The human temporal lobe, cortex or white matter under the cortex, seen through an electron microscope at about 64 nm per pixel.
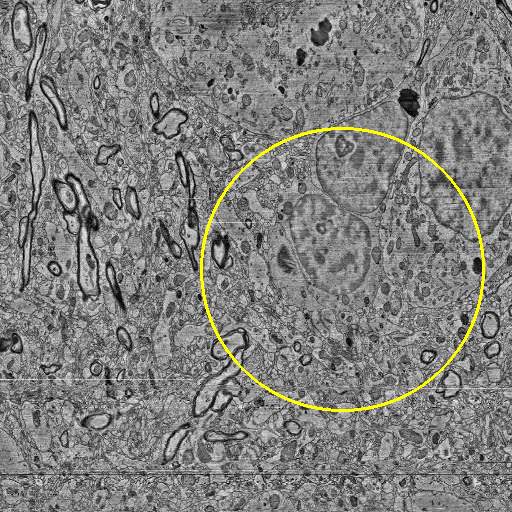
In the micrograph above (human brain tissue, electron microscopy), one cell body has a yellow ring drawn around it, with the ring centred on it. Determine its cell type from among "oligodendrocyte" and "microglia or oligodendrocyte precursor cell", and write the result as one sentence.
The cell whose body is ringed is an oligodendrocyte.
